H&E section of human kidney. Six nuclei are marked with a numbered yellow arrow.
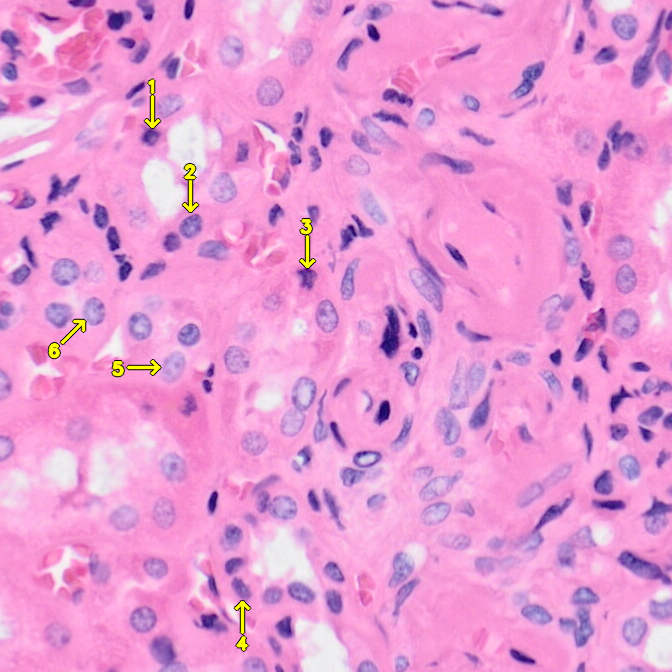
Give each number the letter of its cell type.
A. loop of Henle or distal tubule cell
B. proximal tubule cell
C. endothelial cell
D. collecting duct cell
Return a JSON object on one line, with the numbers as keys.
{"1": "A", "2": "A", "3": "B", "4": "D", "5": "D", "6": "A"}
